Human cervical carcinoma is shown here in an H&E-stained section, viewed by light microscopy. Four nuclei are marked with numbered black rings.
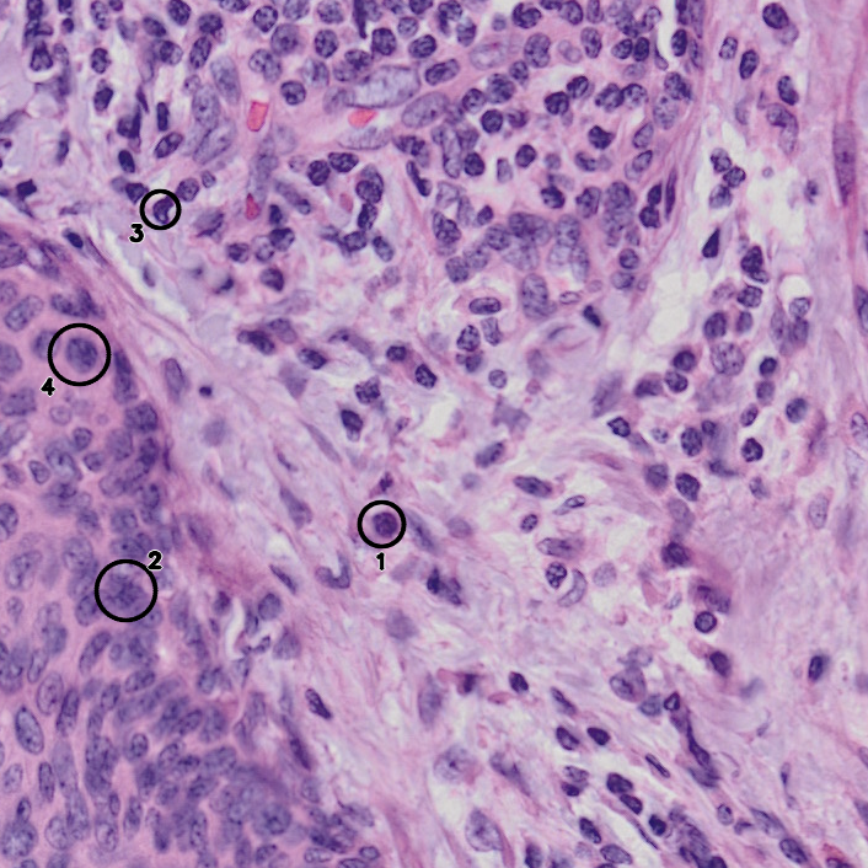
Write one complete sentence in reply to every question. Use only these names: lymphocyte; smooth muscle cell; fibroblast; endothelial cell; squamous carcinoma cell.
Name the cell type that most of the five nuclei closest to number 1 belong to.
Fibroblasts account for more than half of the five nuclei nearest to number 1.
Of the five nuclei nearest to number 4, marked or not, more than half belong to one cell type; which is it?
Squamous carcinoma cells account for more than half of the five nuclei nearest to number 4.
